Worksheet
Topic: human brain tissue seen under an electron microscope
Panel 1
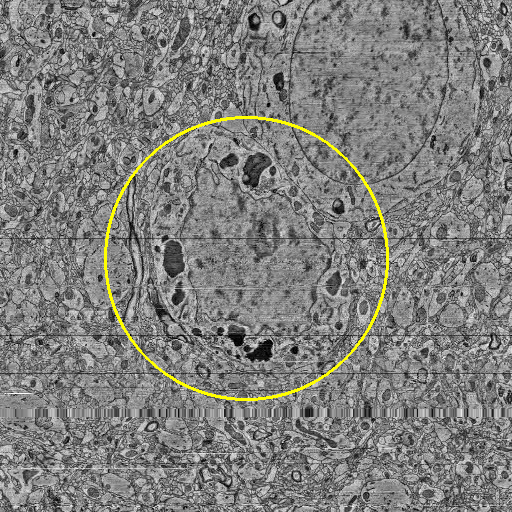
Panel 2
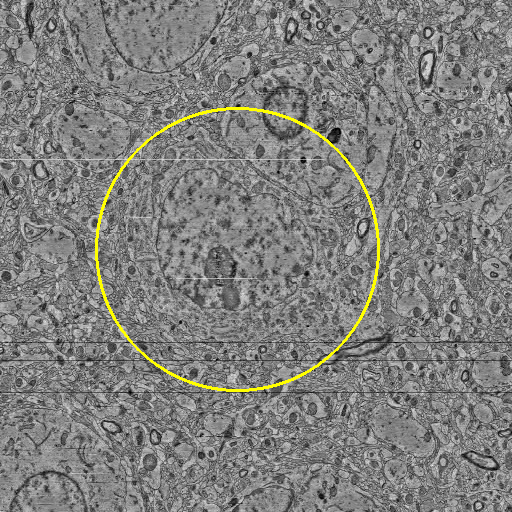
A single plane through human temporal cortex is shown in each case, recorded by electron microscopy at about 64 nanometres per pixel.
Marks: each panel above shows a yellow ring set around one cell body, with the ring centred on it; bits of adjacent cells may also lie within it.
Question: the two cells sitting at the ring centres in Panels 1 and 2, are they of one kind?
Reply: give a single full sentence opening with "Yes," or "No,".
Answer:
Yes, the two ring-centre cells in Panel 1 and Panel 2 are of one kind.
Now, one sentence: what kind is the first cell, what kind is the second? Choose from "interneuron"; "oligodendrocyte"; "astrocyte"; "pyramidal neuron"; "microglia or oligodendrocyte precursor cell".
The second cell is an interneuron, just as the first is.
